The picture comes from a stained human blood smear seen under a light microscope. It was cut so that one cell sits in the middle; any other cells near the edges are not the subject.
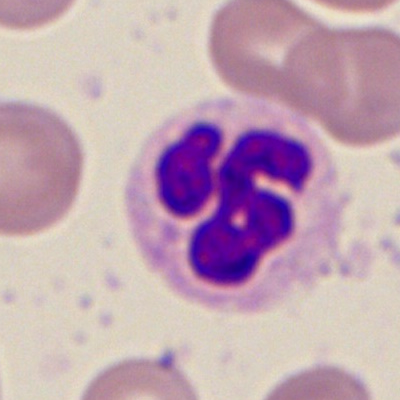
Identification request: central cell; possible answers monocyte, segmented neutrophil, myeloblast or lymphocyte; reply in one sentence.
Occupying the centre of the crop is a segmented neutrophil.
